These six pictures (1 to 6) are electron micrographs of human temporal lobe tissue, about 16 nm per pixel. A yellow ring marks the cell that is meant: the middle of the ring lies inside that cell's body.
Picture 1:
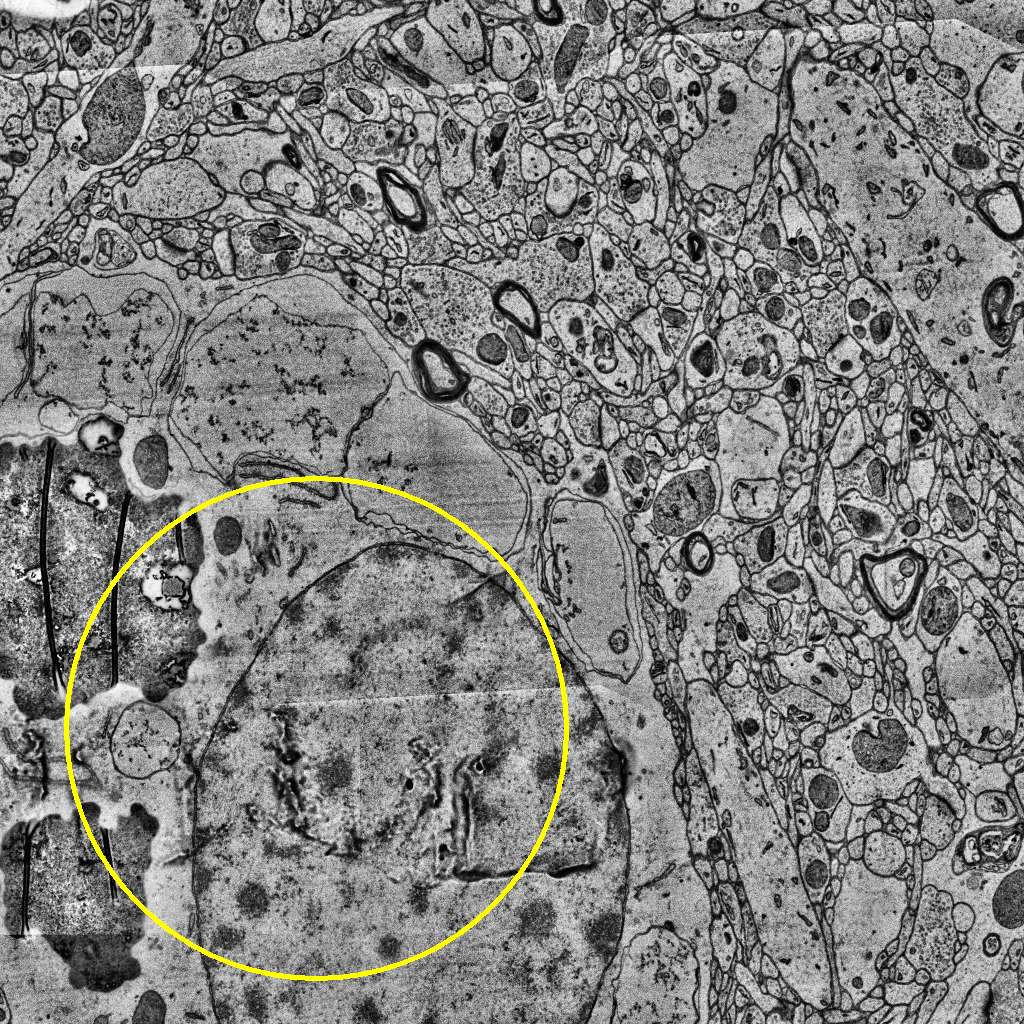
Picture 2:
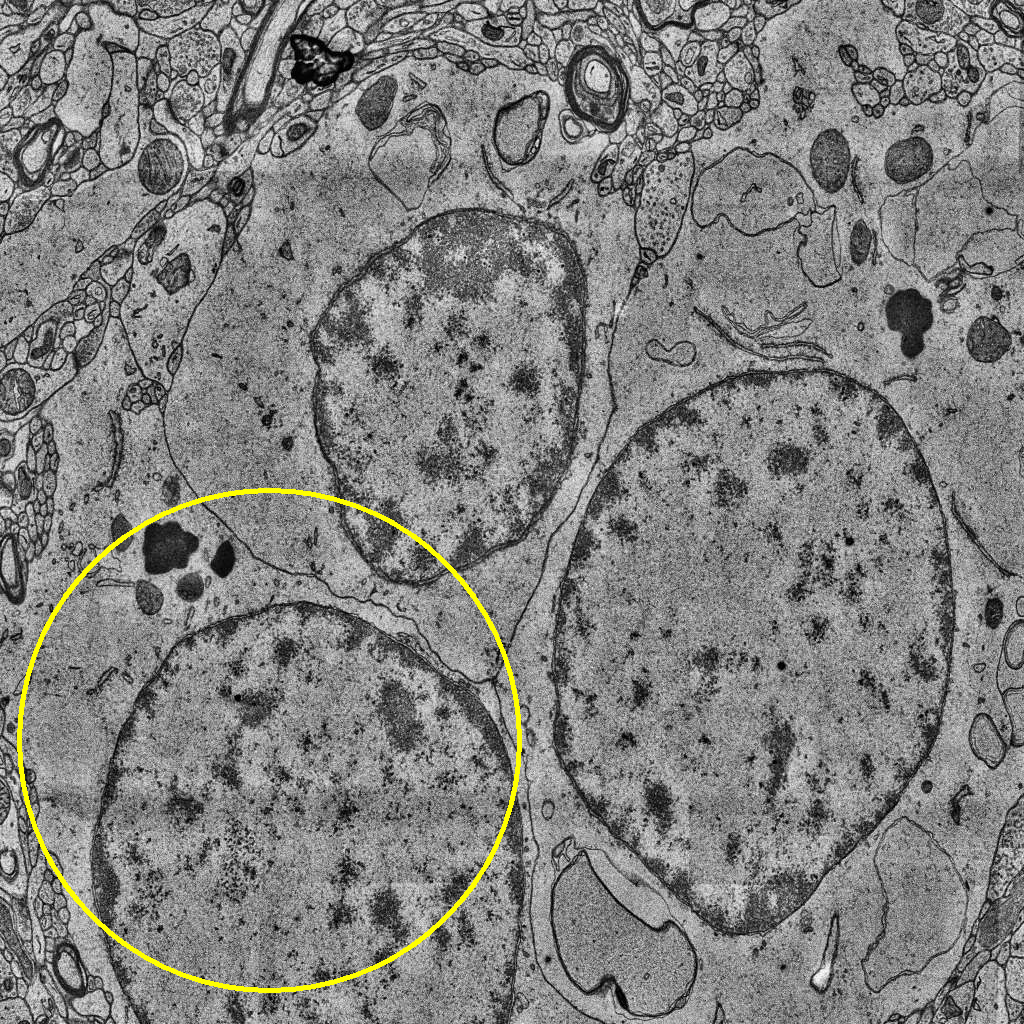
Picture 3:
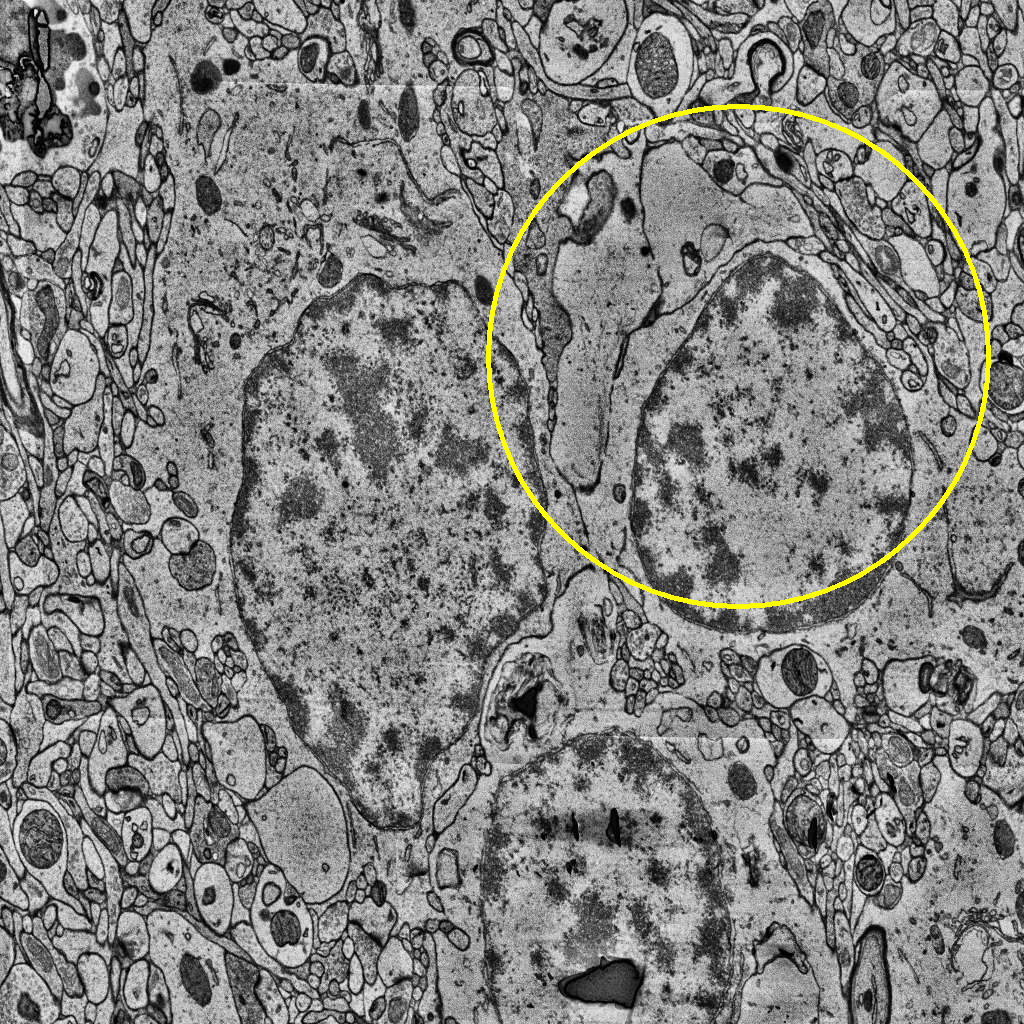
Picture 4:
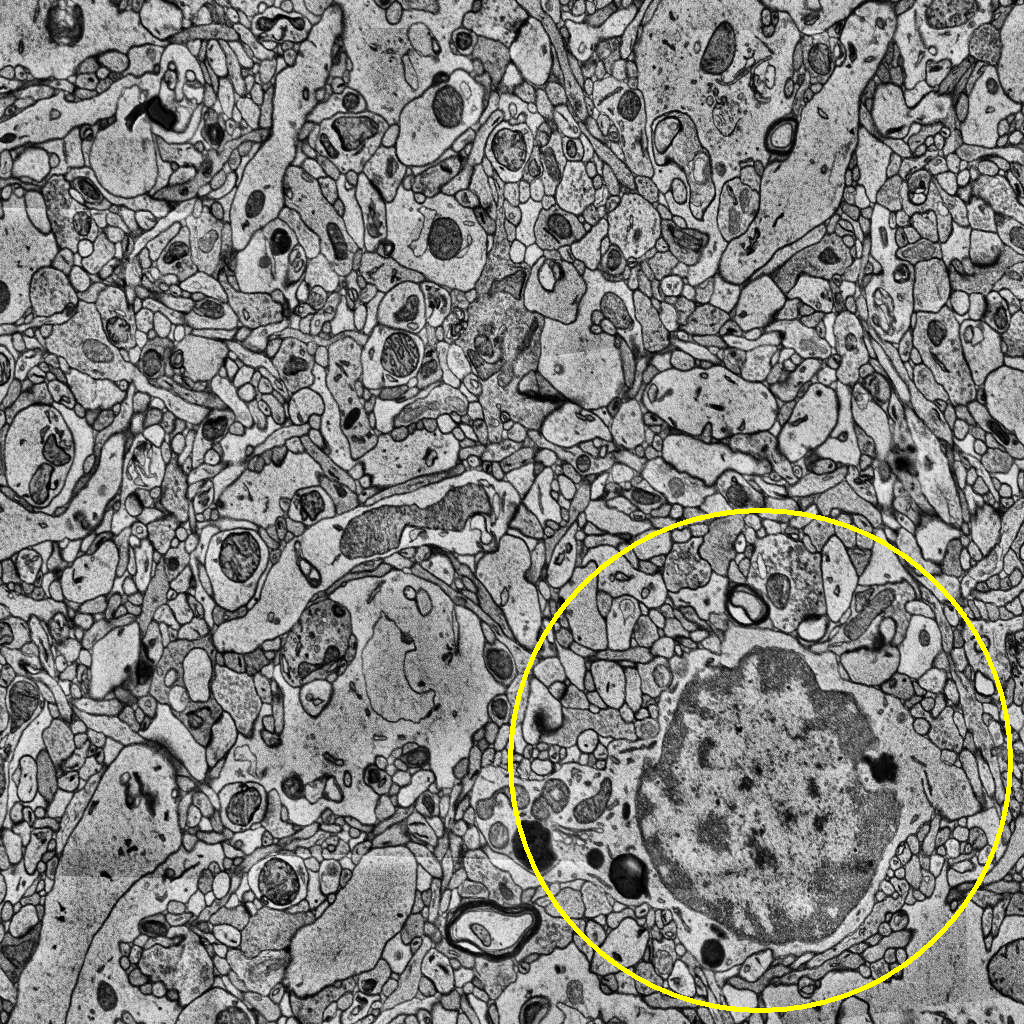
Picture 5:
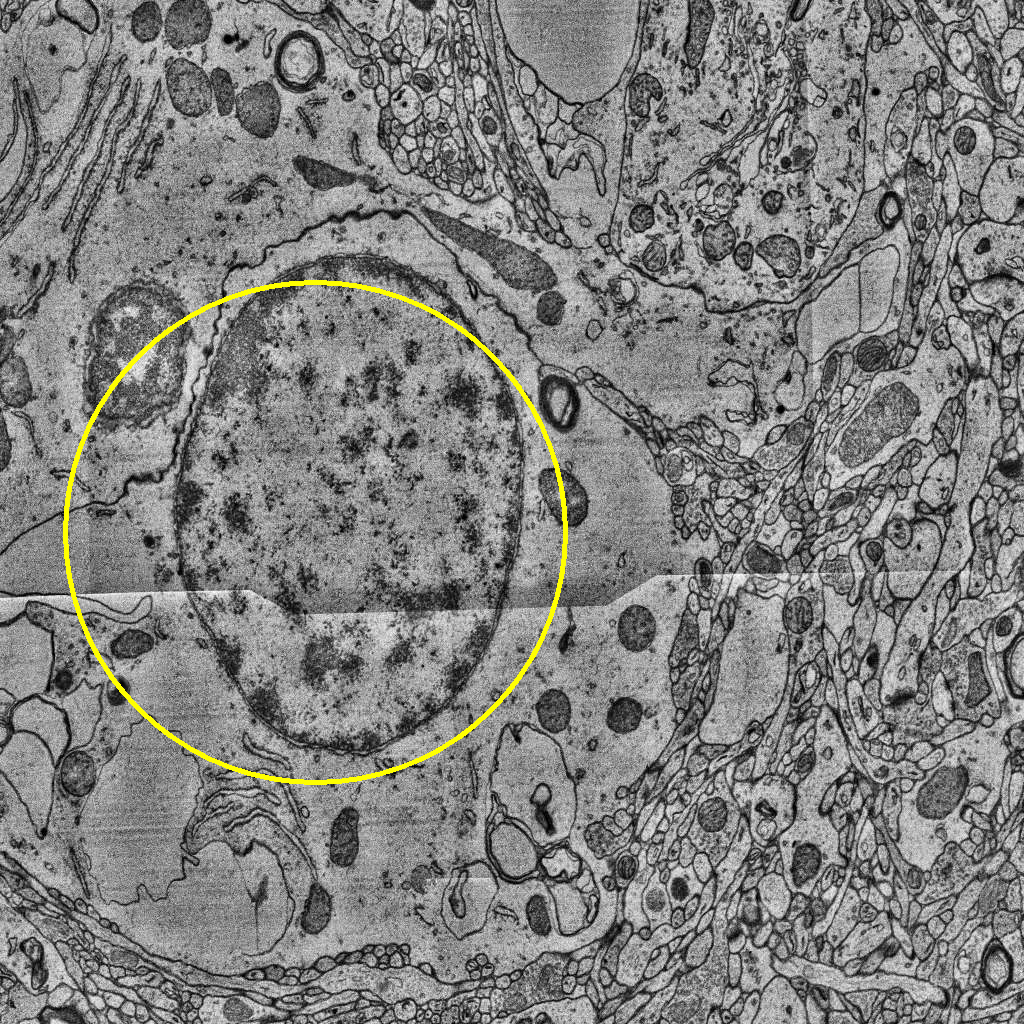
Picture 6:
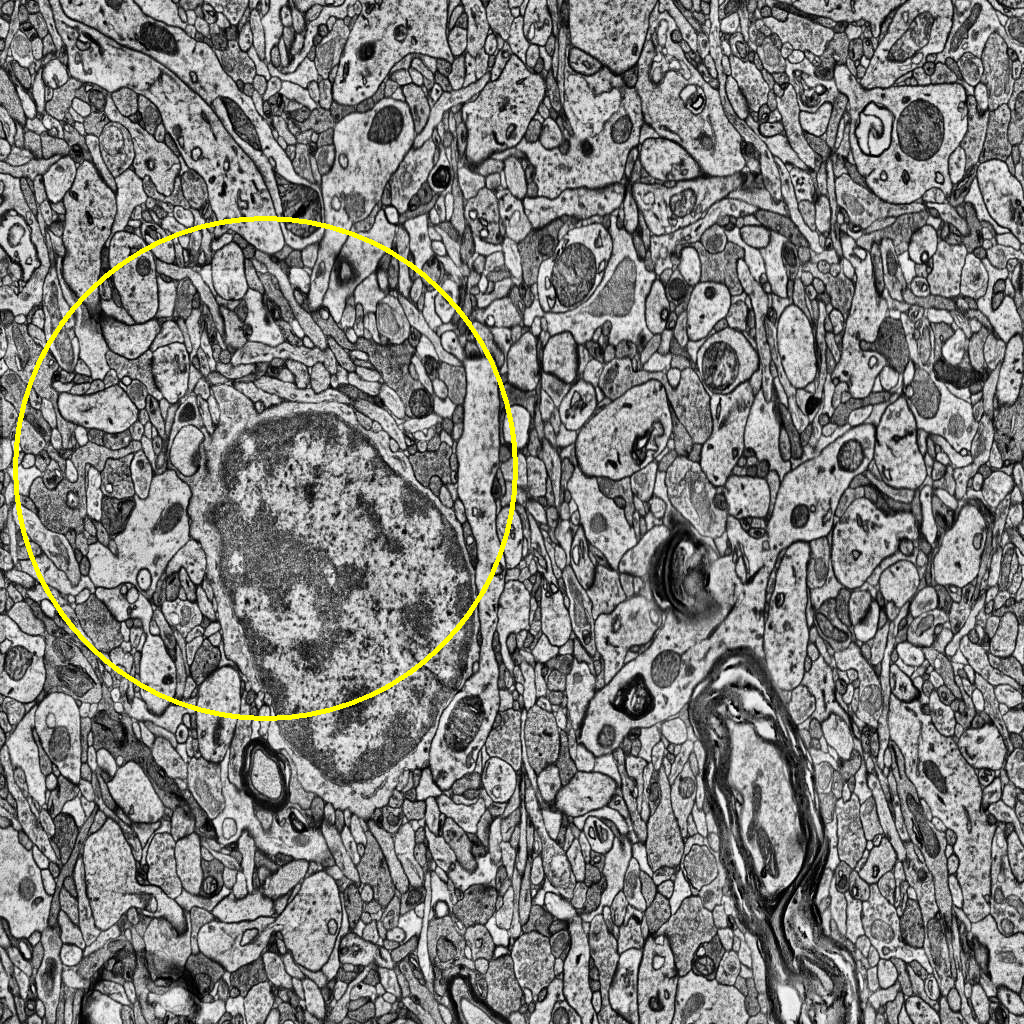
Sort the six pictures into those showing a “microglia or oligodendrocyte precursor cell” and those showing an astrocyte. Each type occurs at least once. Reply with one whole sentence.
Pictures 4 and 6 show “microglia or oligodendrocyte precursor cells”, while pictures 1, 2, 3 and 5 show astrocytes.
